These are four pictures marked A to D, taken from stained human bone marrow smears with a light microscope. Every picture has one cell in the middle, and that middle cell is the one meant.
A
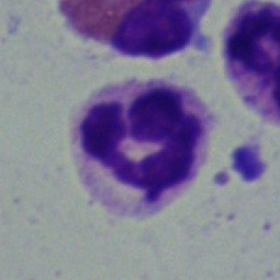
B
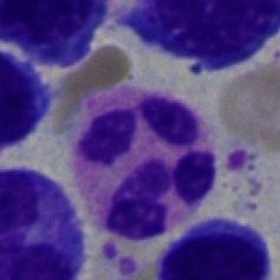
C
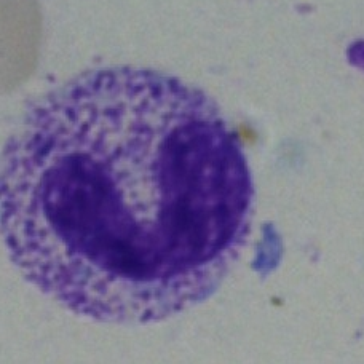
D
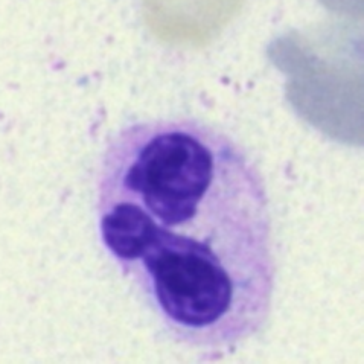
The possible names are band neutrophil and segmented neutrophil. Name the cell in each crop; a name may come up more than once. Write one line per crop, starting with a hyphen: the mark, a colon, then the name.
- A: segmented neutrophil
- B: segmented neutrophil
- C: band neutrophil
- D: segmented neutrophil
